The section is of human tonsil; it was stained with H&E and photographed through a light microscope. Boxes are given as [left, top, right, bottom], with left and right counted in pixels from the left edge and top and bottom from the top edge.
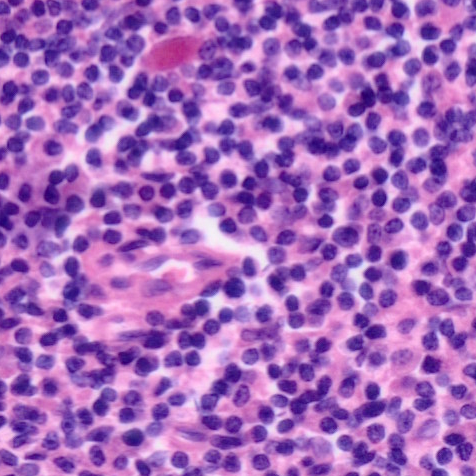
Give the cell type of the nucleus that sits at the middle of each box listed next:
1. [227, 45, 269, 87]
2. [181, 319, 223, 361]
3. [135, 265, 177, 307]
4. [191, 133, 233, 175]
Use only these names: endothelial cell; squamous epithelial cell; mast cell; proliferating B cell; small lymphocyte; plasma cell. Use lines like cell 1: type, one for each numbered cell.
cell 1: small lymphocyte
cell 2: small lymphocyte
cell 3: endothelial cell
cell 4: small lymphocyte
